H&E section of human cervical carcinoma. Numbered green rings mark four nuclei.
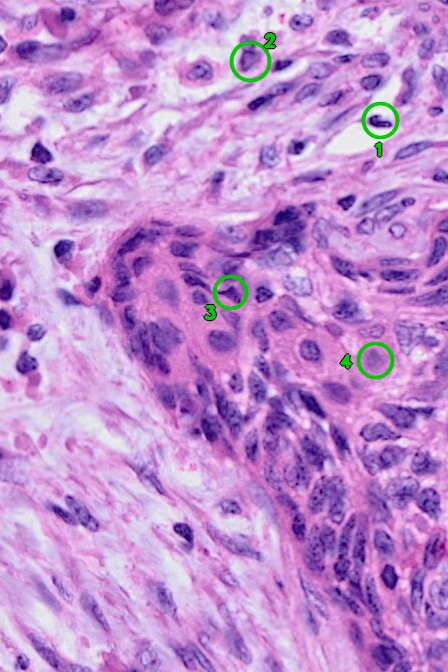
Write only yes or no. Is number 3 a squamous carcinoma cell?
yes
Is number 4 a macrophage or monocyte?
no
